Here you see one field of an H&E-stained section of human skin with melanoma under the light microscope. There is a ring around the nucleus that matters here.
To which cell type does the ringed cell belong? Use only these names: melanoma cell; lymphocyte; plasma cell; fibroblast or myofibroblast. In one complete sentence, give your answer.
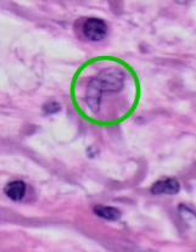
So far as cell type goes, the ringed cell is a fibroblast or myofibroblast.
